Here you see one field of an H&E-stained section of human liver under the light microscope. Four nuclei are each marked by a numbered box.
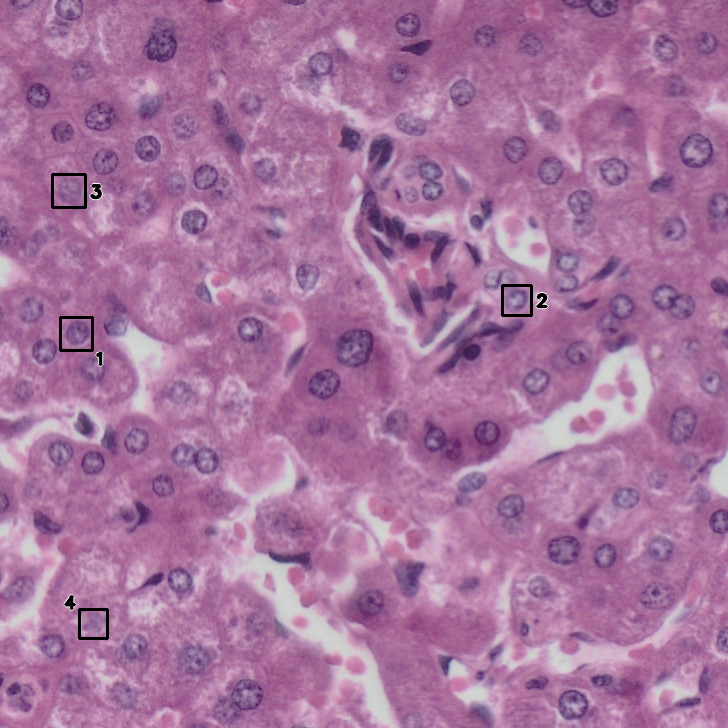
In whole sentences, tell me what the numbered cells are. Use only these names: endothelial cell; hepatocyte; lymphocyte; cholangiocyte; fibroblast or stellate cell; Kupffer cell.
Cell 1 is a hepatocyte, cell 2 is a cholangiocyte, cell 3 is a hepatocyte and cell 4 is a hepatocyte.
